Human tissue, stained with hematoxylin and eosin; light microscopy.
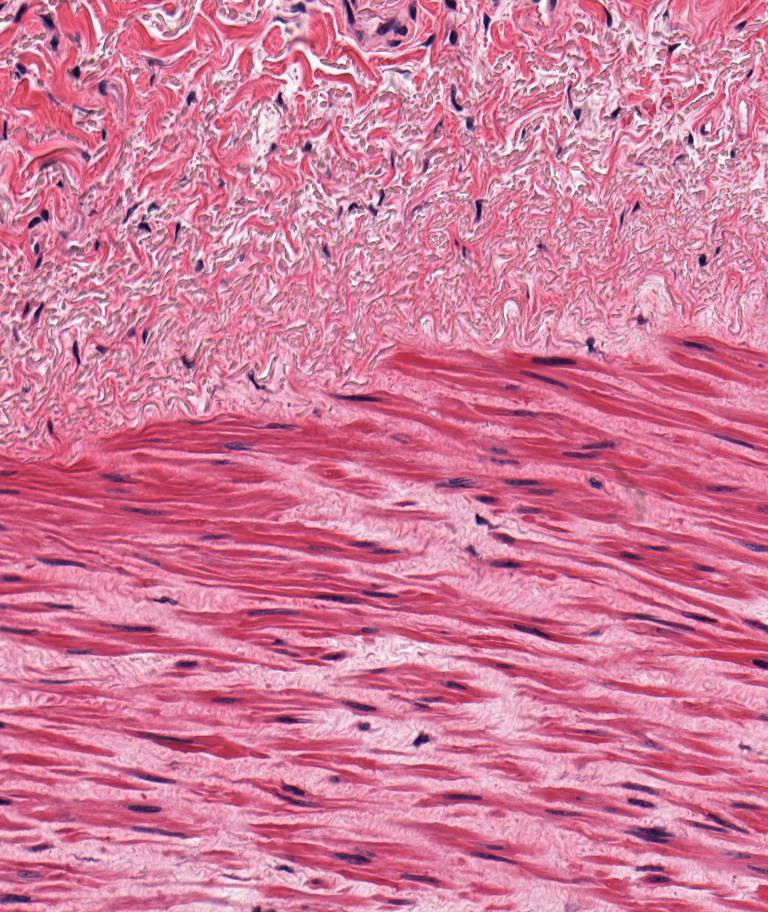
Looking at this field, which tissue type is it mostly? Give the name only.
tunica media of an artery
